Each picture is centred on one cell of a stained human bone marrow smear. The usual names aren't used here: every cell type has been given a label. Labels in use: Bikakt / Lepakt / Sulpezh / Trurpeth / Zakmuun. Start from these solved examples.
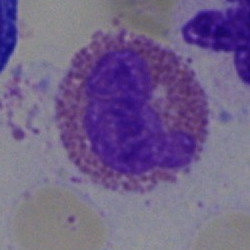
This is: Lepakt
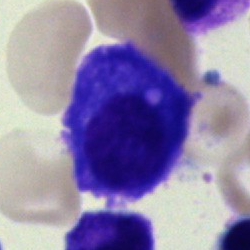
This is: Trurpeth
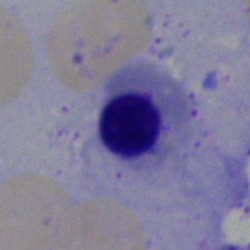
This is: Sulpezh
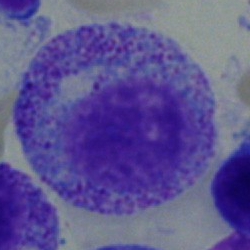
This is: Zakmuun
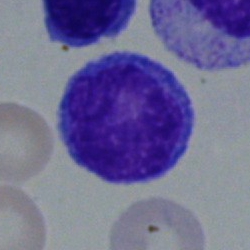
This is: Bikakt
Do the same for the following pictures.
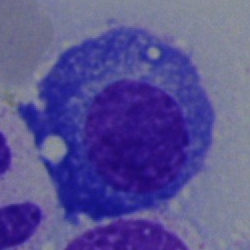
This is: Trurpeth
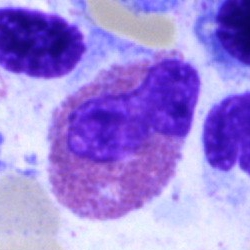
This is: Lepakt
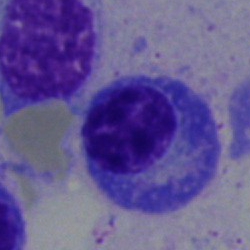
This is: Trurpeth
